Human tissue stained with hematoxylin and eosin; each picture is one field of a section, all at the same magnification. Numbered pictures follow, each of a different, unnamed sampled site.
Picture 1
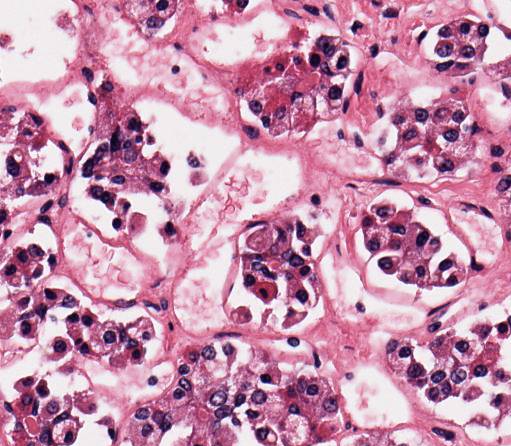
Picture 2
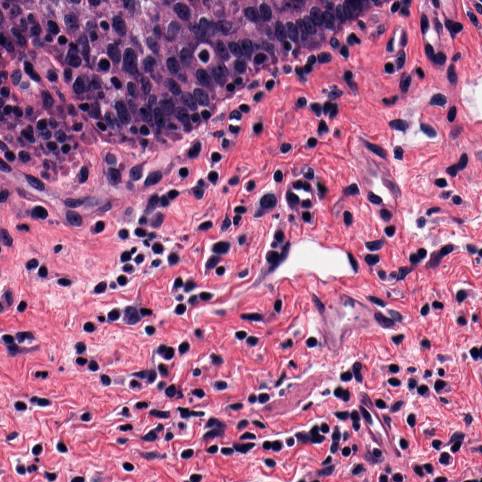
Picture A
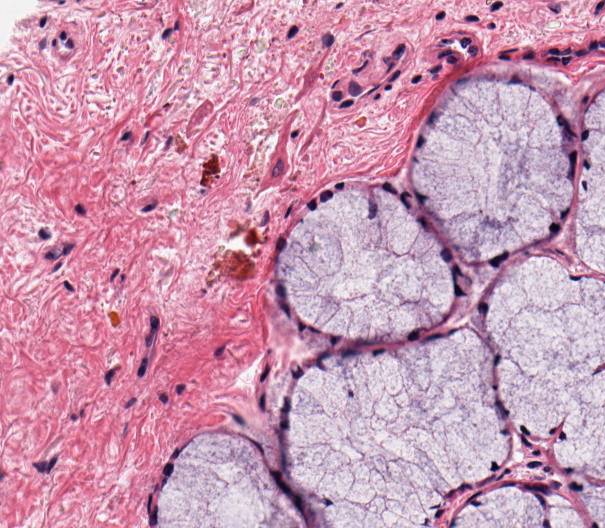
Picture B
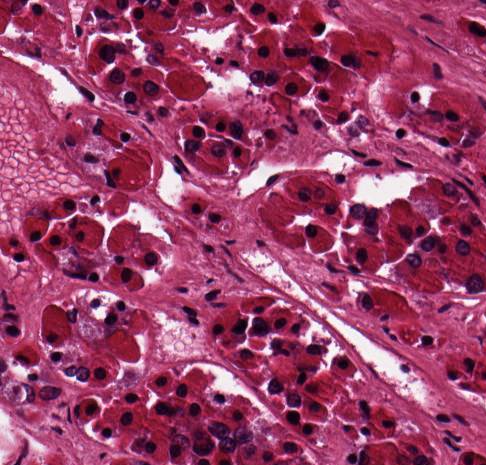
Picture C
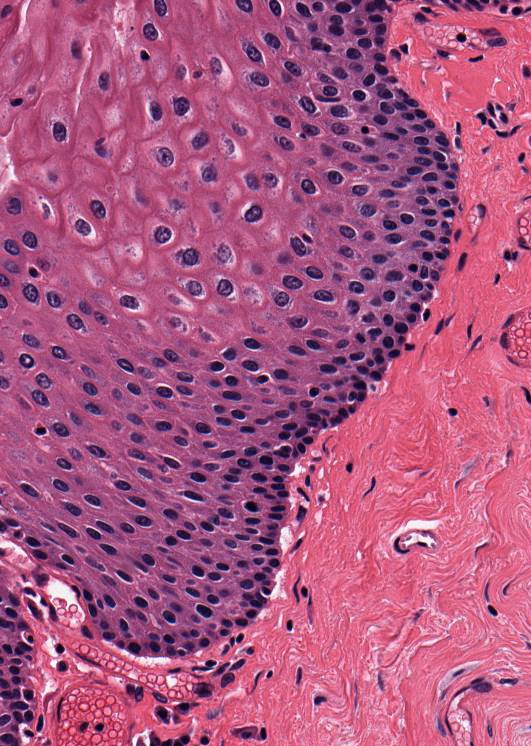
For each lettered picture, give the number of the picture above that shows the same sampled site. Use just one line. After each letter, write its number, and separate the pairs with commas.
A 2, B 1, C 2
